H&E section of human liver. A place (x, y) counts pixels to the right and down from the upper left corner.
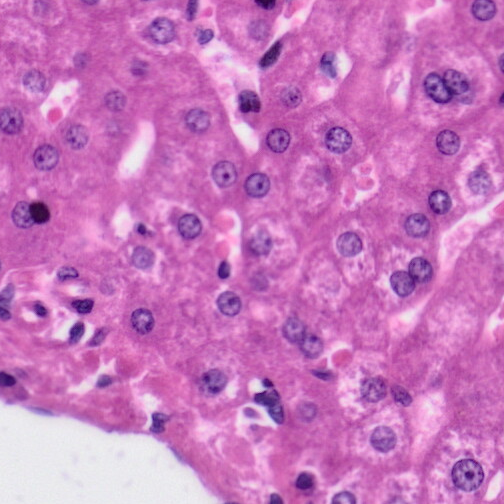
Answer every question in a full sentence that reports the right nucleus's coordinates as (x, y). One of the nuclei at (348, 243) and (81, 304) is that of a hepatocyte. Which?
Of these two nuclei, only the one at (348, 243) belongs to a hepatocyte.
